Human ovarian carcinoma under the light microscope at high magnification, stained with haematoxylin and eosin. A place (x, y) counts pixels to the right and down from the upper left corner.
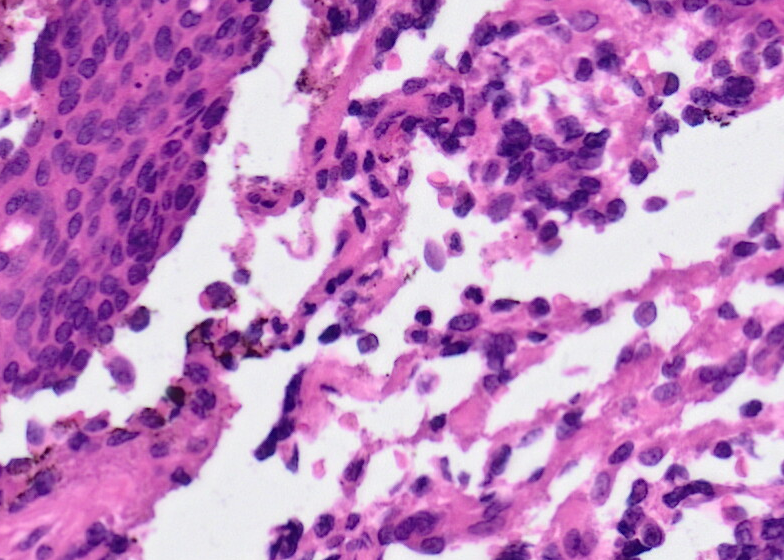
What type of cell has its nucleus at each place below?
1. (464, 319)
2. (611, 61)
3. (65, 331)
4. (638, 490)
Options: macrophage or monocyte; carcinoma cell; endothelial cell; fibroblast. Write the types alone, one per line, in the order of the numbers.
macrophage or monocyte
carcinoma cell
carcinoma cell
carcinoma cell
